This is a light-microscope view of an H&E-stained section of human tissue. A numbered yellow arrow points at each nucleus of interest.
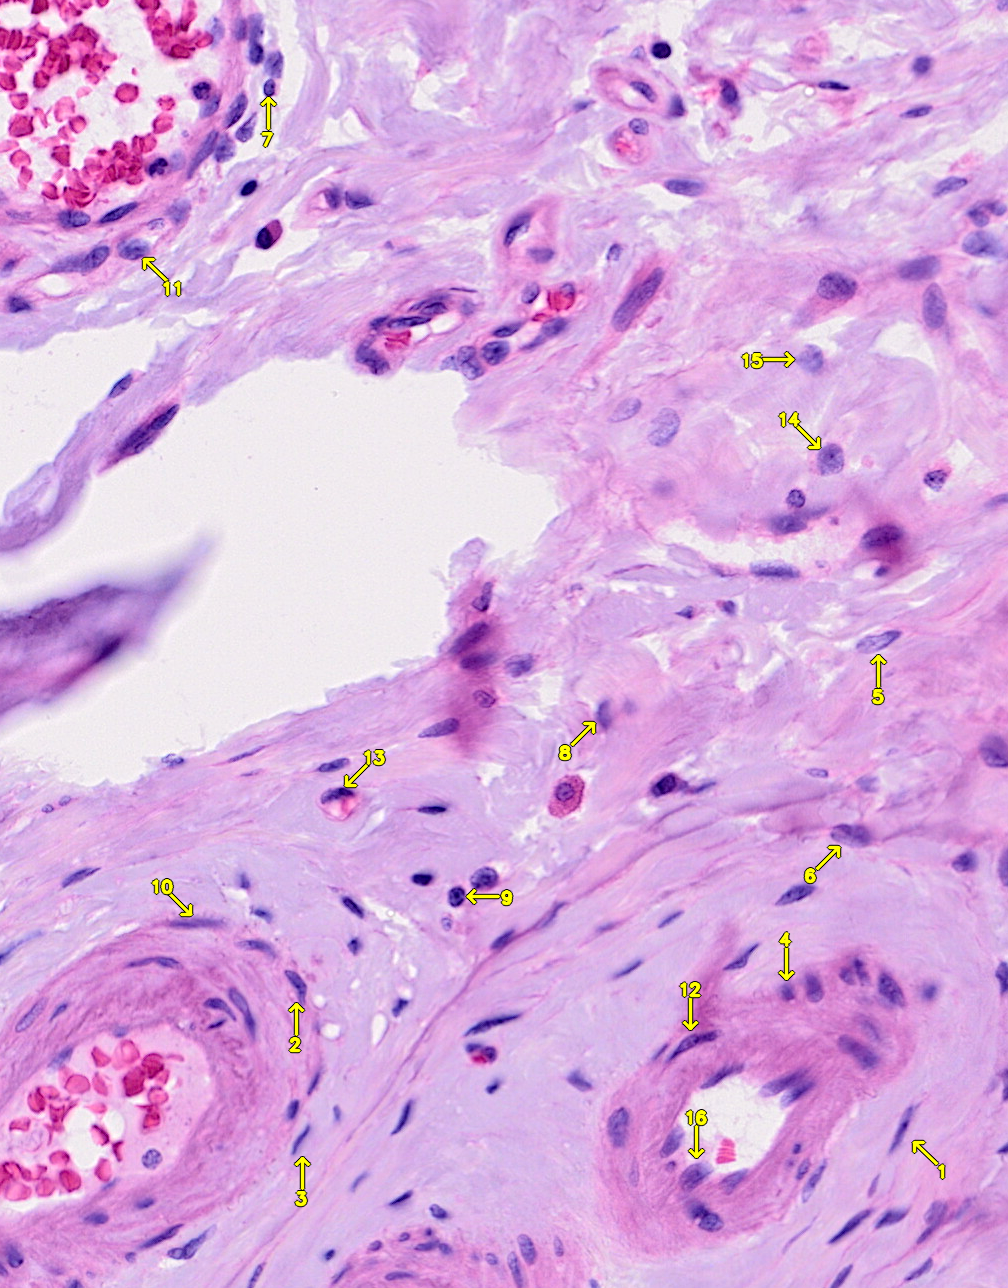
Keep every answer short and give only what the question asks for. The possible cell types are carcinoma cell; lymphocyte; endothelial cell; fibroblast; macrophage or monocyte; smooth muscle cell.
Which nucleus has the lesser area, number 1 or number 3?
3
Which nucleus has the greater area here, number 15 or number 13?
15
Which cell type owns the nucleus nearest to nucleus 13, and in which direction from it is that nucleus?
a fibroblast above nucleus 13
